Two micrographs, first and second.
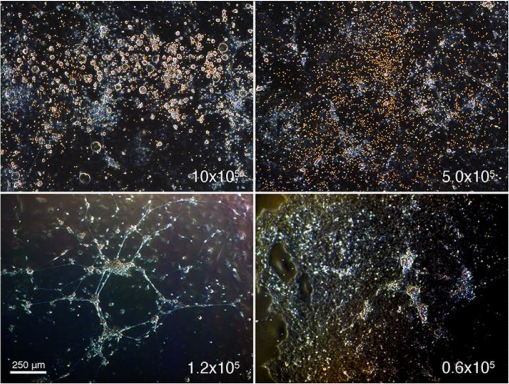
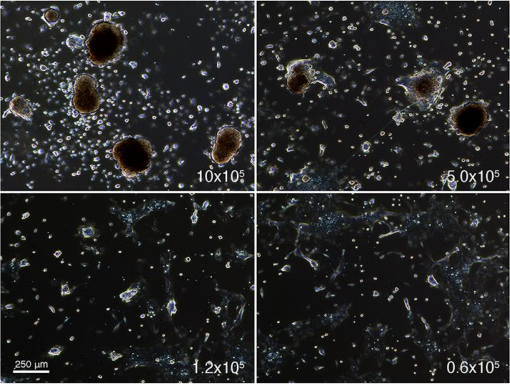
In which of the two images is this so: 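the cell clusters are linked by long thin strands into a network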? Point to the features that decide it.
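The first image. Second image: dark round spheres lie separately without connecting strands.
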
